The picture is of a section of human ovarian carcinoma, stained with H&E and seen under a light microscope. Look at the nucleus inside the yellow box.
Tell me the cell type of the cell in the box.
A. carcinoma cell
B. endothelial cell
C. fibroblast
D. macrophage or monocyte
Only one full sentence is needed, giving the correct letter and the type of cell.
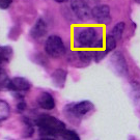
Option A gets it right, as the cell in the box is a carcinoma cell.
